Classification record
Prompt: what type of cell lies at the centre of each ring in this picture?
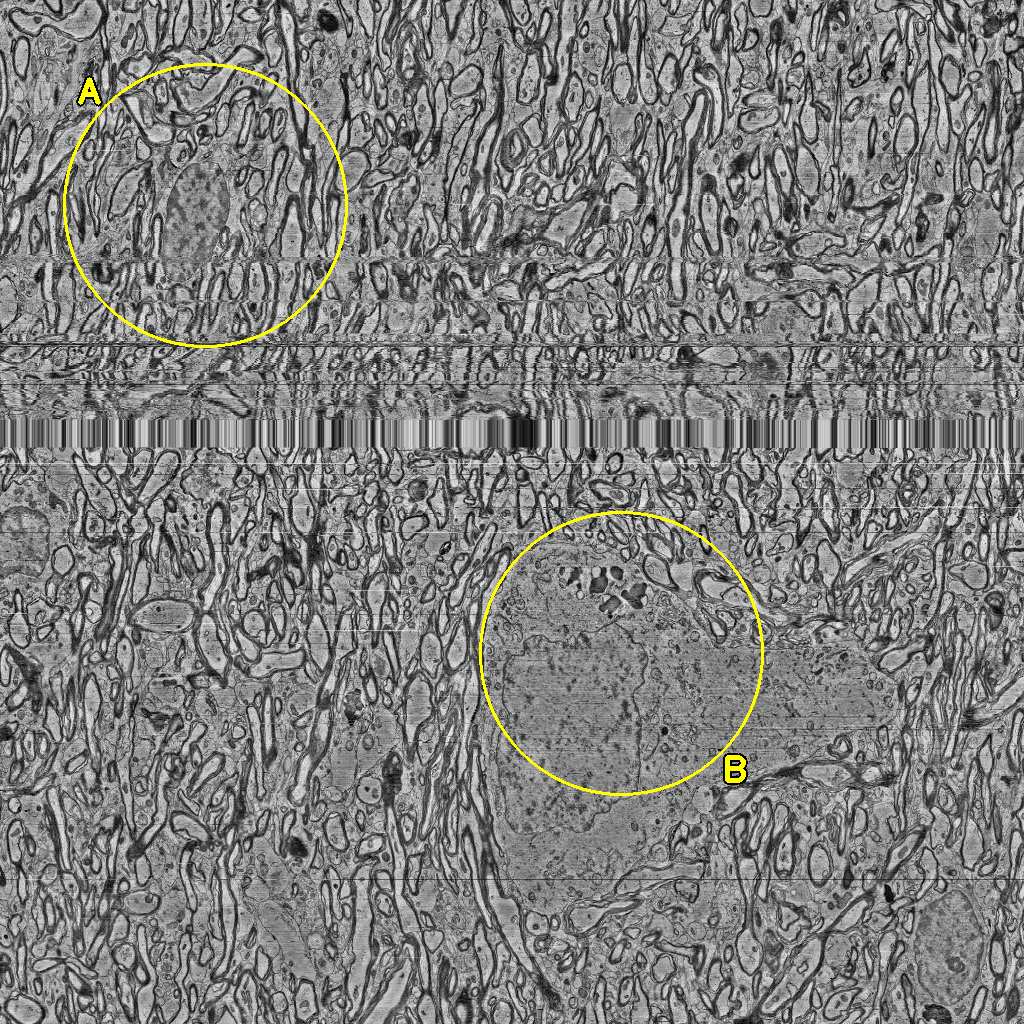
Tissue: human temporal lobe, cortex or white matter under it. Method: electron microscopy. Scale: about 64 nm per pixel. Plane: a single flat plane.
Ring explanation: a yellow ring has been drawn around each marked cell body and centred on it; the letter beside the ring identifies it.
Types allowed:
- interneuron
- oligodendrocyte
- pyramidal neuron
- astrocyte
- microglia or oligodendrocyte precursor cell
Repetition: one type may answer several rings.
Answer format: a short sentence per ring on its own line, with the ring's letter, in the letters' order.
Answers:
Ring A shows a microglial cell or oligodendrocyte precursor cell at its centre.
Ring B shows a pyramidal neuron at its centre.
